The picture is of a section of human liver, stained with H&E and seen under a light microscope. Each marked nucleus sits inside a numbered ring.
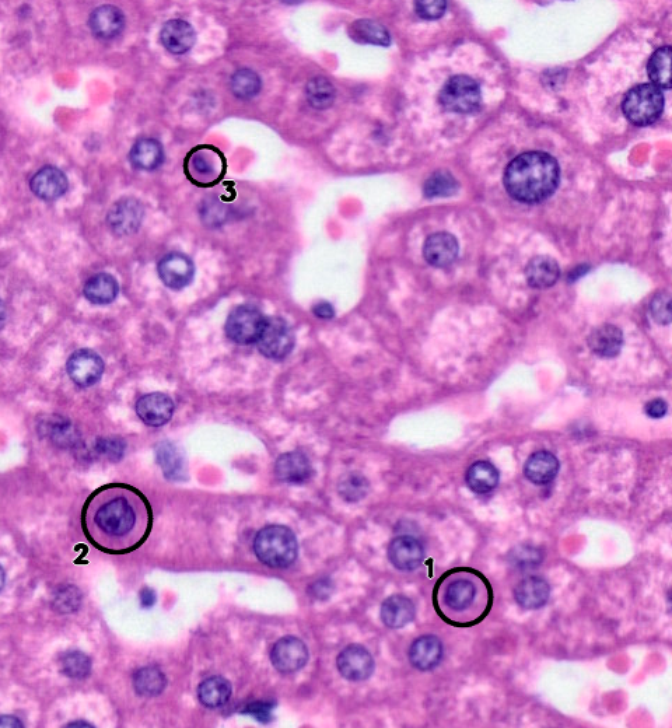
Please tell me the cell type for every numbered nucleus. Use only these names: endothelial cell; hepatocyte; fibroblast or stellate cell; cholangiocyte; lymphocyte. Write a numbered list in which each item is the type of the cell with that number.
1. hepatocyte
2. hepatocyte
3. fibroblast or stellate cell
